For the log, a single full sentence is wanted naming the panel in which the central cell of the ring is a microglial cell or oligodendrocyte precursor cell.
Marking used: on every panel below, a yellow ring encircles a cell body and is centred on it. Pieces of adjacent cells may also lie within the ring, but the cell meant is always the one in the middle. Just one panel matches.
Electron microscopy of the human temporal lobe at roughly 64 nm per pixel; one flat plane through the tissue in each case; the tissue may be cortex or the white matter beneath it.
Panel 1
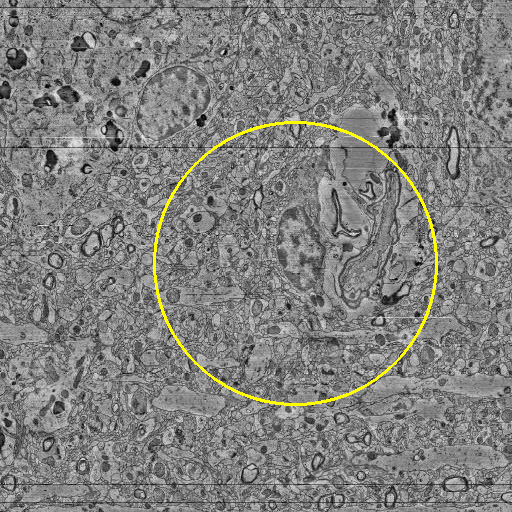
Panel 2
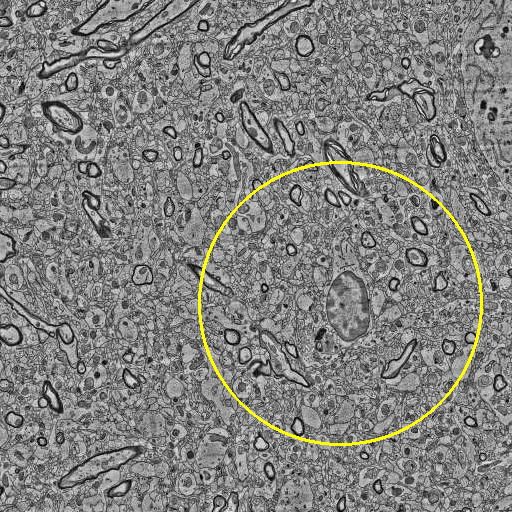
The cell in the middle of the ring in panel 2 is the one asked for.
